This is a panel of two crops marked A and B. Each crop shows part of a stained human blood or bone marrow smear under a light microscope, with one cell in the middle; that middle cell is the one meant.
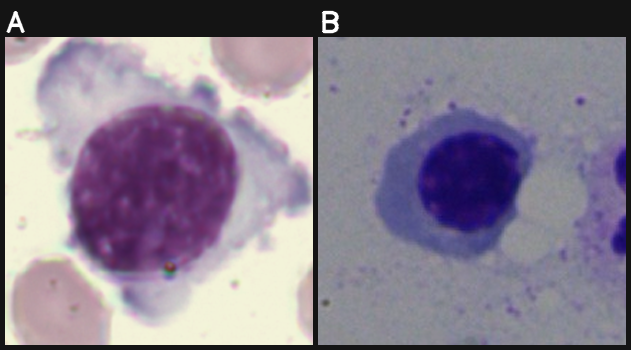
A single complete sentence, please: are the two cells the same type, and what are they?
No, the cells are a plasma cell in crop A and a normoblast in crop B.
